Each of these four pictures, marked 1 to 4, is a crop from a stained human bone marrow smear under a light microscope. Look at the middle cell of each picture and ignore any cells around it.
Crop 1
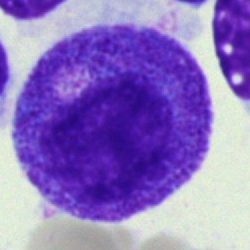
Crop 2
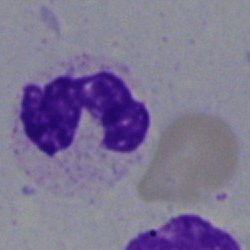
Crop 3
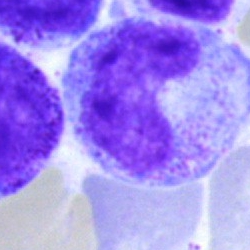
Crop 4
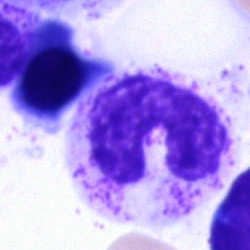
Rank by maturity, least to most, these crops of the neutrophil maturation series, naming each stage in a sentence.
The maturation sequence, from earliest to latest, is crop 1 (a promyelocyte), crop 3 (a metamyelocyte), crop 4 (a band neutrophil) and crop 2 (a segmented neutrophil).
